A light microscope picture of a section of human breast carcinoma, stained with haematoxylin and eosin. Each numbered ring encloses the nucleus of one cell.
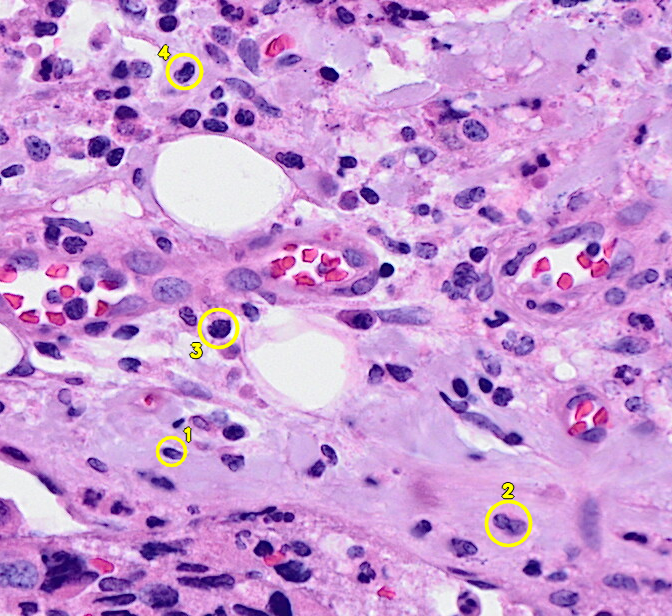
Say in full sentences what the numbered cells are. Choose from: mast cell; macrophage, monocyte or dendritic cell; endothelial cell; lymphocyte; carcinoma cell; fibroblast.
Cells 1, 3 and 4 are lymphocytes. Cell 2 is a mast cell.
